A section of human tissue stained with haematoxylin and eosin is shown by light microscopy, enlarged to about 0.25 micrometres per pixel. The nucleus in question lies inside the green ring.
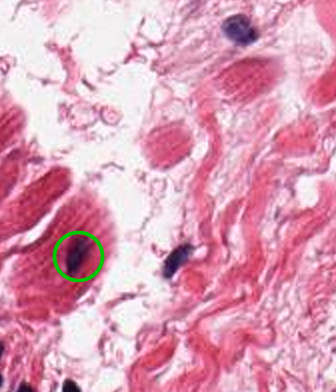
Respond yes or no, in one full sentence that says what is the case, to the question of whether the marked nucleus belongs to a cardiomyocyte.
Yes, in this field of view the marked nucleus belongs to a cardiomyocyte.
